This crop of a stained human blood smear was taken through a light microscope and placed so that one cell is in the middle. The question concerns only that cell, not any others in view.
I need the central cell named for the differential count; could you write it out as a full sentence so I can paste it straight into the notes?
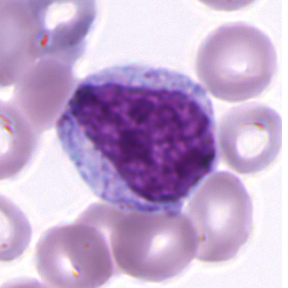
In the middle of this smear crop, the cell is a myelocyte.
